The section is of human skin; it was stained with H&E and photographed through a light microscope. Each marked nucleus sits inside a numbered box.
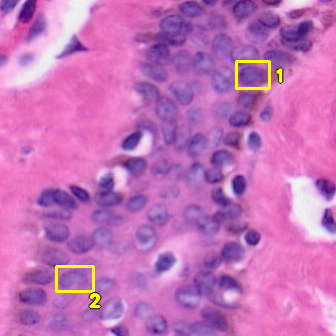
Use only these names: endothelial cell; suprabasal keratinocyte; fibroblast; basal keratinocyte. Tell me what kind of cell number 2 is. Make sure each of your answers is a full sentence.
The cell that goes by number 2 is a suprabasal keratinocyte.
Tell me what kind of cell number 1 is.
The cell bearing label 1 corresponds to a basal keratinocyte.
